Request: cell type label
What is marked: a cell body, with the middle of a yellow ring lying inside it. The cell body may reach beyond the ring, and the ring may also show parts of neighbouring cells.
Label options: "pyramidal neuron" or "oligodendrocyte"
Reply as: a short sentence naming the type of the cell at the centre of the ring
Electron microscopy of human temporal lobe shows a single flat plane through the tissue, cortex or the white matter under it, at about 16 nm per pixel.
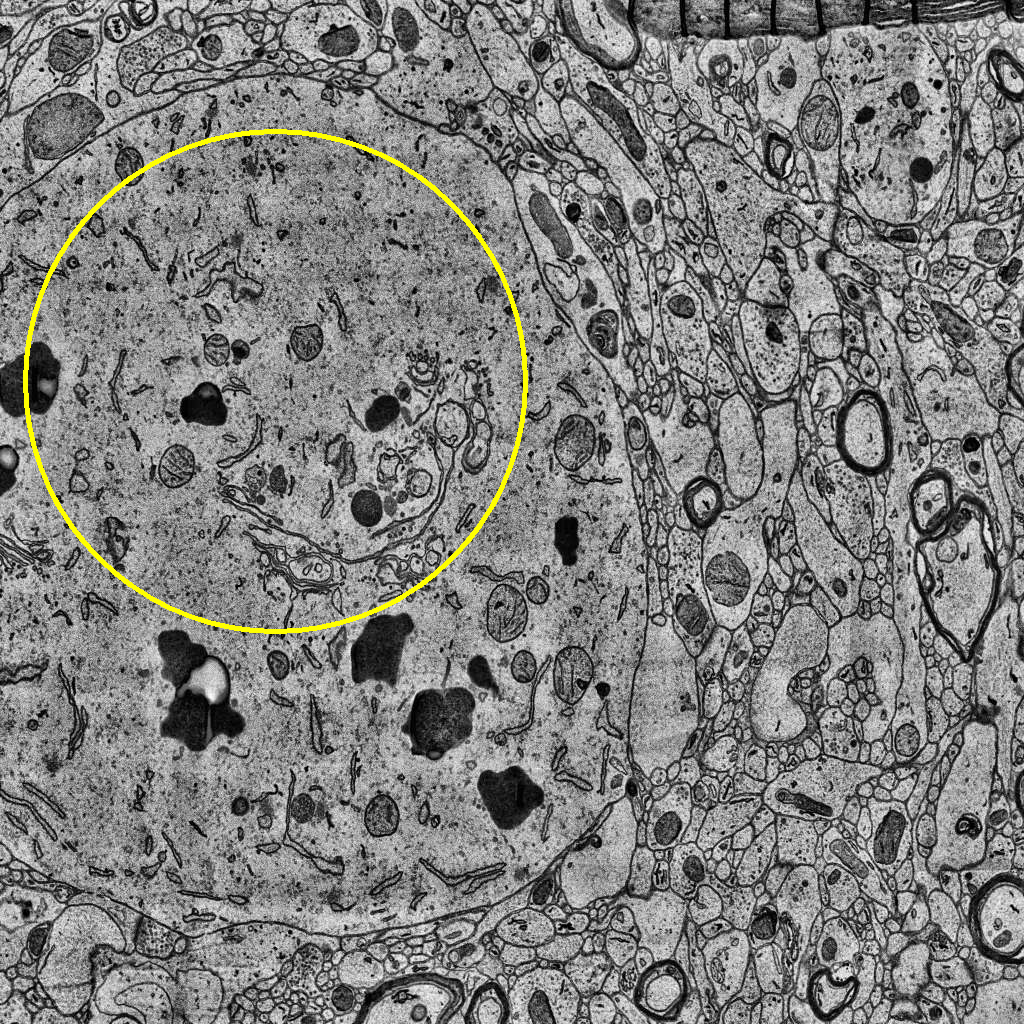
The marked cell body is that of a pyramidal neuron.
